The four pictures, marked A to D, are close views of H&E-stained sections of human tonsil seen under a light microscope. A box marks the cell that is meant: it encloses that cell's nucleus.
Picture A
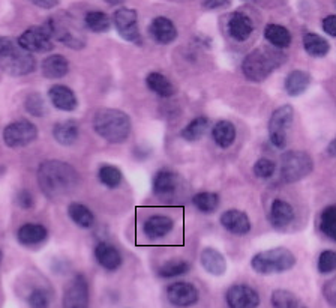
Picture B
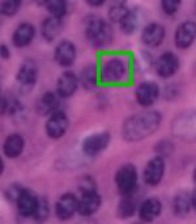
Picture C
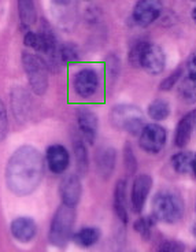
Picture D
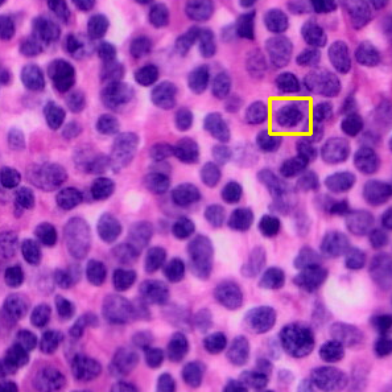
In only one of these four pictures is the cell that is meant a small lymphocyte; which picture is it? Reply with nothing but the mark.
D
